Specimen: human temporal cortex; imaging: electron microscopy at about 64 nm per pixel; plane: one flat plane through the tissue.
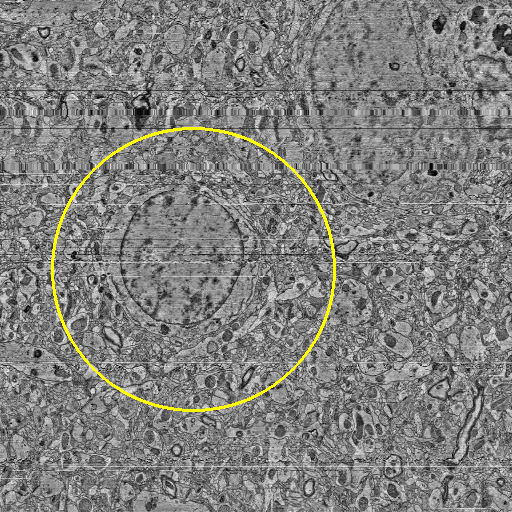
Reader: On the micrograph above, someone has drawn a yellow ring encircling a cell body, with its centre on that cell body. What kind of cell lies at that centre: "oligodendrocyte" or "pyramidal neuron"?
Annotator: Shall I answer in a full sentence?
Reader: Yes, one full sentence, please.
Here a pyramidal neuron sits at the centre of the yellow ring drawn on the micrograph.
